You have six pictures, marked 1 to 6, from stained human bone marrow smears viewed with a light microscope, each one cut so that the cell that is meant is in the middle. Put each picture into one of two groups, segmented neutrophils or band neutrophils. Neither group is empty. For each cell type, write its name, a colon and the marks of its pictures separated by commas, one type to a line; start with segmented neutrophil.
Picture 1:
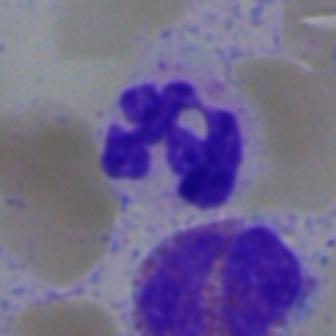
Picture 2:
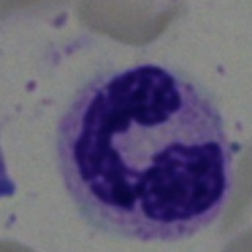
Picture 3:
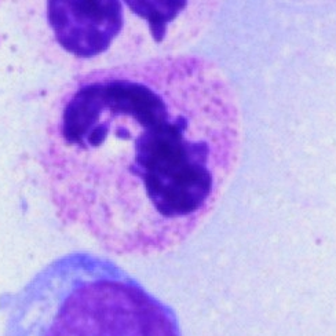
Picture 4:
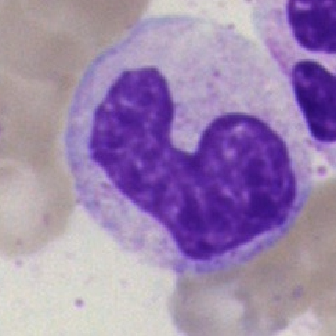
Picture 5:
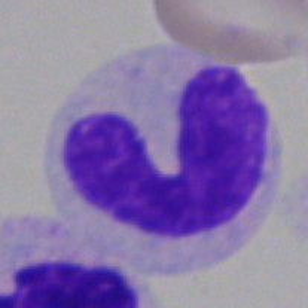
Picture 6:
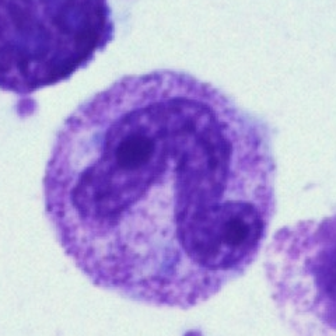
segmented neutrophil: 1, 2, 3, 6
band neutrophil: 4, 5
